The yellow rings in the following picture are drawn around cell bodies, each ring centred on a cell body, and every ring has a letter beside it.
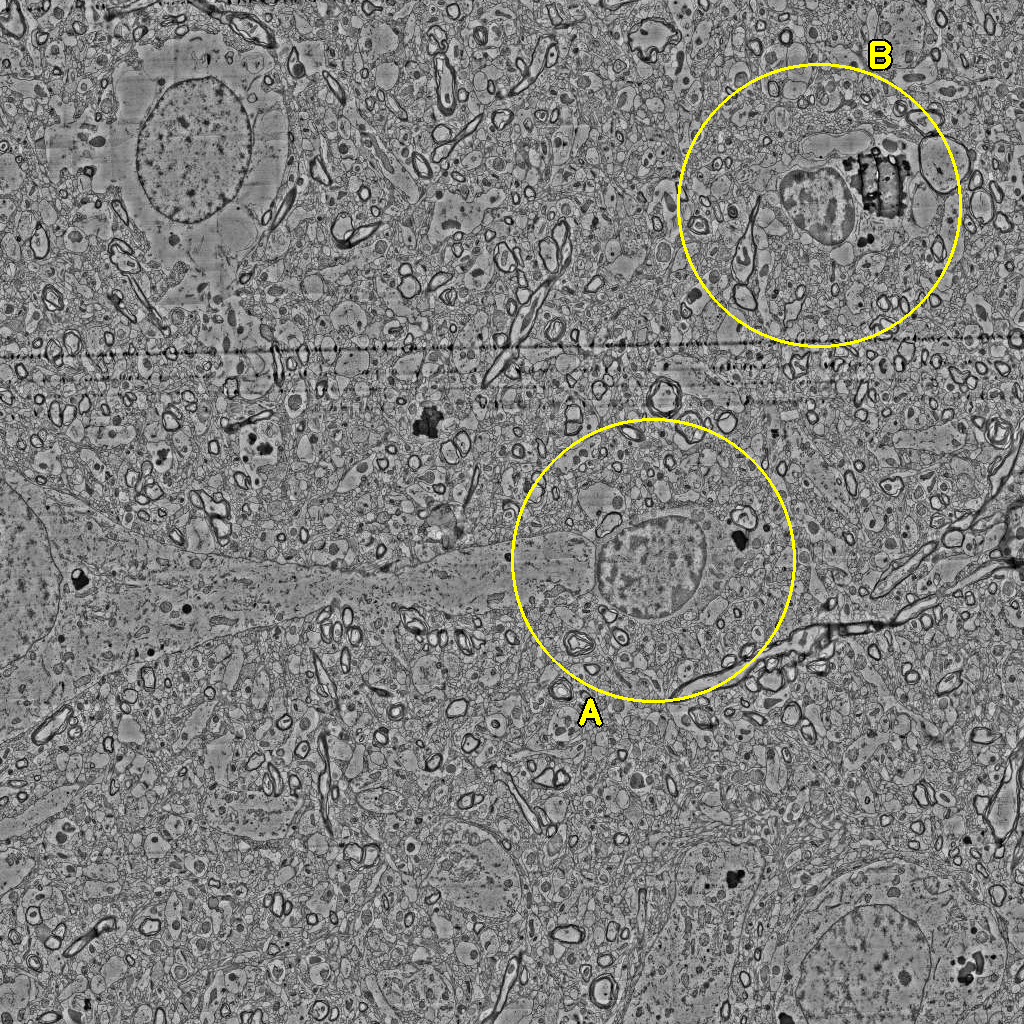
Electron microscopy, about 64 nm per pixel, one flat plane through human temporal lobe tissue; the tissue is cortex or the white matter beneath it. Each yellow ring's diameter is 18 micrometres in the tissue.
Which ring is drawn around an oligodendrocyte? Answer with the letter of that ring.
A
